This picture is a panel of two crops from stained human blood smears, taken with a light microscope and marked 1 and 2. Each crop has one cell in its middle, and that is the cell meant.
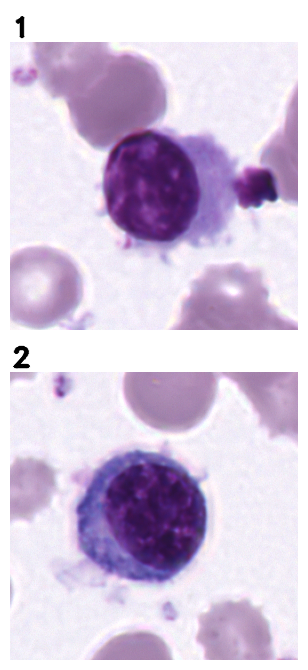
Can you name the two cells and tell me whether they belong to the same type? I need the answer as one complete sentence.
Yes, the same answer goes for both crops, namely plasma cells.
